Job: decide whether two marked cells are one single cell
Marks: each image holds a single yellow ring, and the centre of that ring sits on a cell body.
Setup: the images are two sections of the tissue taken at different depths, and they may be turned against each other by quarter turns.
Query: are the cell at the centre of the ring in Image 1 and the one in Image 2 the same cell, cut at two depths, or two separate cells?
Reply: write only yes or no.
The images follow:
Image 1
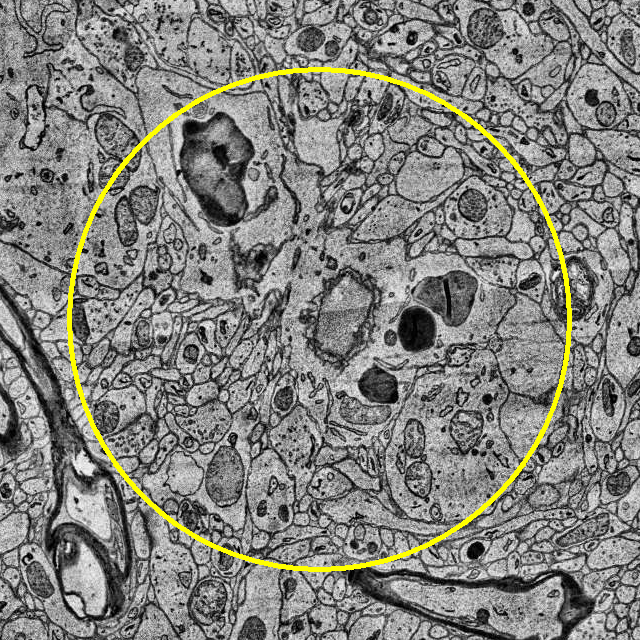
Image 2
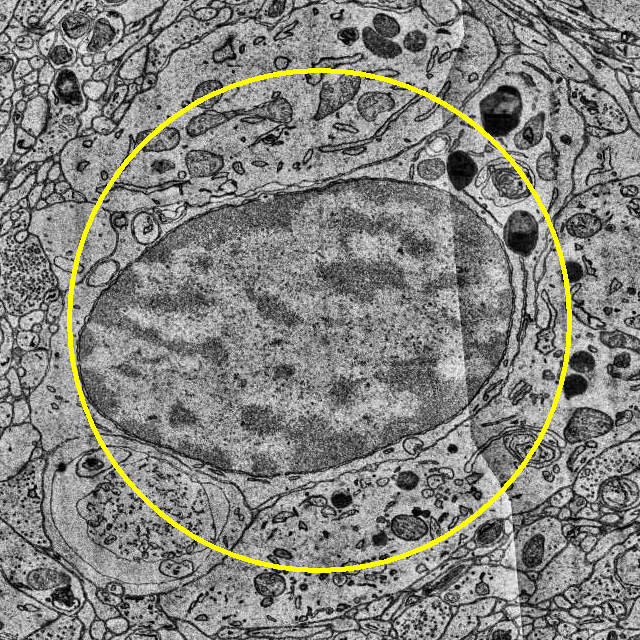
yes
